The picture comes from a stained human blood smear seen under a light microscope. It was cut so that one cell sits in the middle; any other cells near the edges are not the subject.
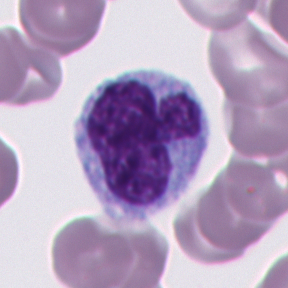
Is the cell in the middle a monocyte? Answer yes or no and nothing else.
yes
